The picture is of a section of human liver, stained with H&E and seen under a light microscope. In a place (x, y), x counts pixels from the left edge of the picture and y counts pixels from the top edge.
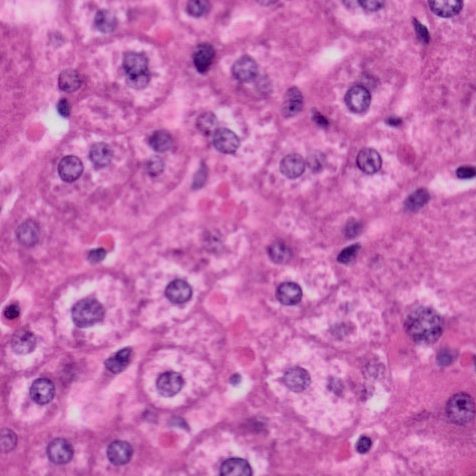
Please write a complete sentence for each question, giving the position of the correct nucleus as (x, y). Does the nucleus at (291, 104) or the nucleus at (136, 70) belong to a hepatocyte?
Of the two, the nucleus lying at (136, 70) is the one belonging to a hepatocyte.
